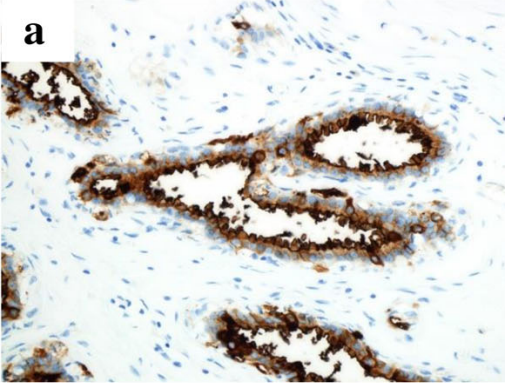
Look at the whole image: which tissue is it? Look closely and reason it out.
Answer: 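The ducts lie in loose, pale stroma with scattered spindle nuclei. That points to this answer: ductal epithelia.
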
